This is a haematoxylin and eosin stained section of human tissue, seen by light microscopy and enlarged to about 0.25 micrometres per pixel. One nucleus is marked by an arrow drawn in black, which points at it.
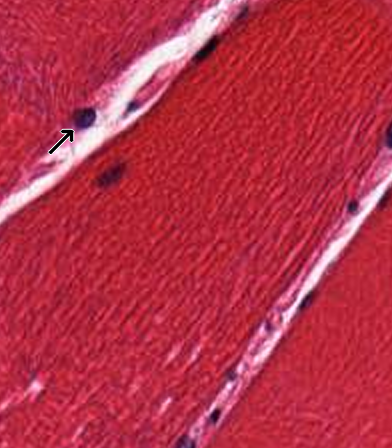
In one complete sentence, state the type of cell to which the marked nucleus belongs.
The nucleus indicated by the mark belongs to a skeletal muscle fibre.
